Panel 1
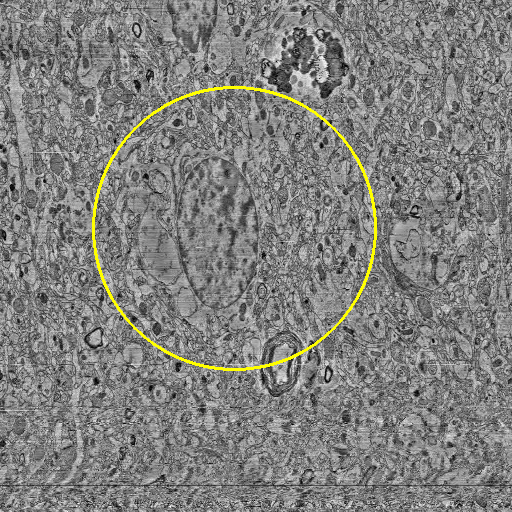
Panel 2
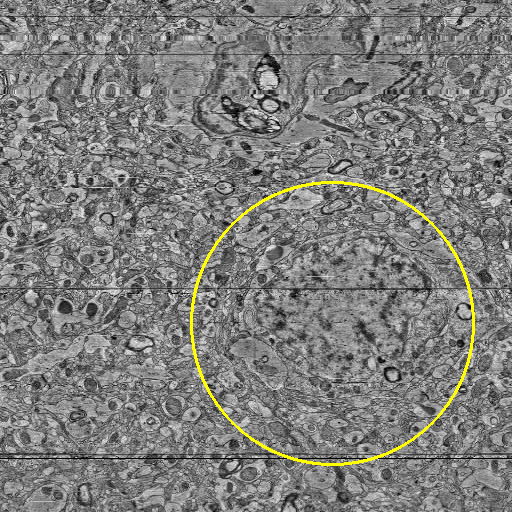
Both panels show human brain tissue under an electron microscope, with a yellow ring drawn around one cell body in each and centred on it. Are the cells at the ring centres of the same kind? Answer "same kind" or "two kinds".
two kinds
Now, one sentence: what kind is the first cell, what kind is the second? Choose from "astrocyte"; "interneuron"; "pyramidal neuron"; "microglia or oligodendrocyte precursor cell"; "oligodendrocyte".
The first picture has an astrocyte at its ring centre, and the second has an interneuron.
